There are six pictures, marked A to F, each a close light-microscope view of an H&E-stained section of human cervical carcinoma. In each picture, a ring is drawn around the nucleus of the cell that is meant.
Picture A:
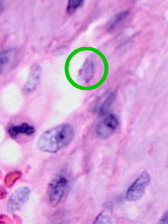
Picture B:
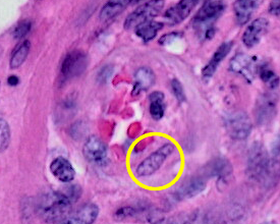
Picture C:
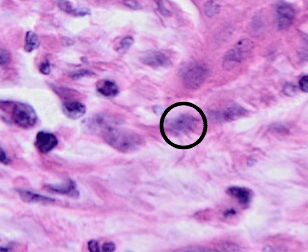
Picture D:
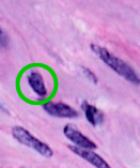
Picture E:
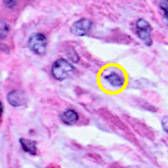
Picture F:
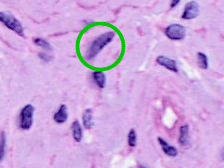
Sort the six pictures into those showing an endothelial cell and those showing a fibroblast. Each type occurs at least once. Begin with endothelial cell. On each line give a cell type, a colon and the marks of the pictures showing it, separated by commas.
endothelial cell: A, B
fibroblast: C, D, E, F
